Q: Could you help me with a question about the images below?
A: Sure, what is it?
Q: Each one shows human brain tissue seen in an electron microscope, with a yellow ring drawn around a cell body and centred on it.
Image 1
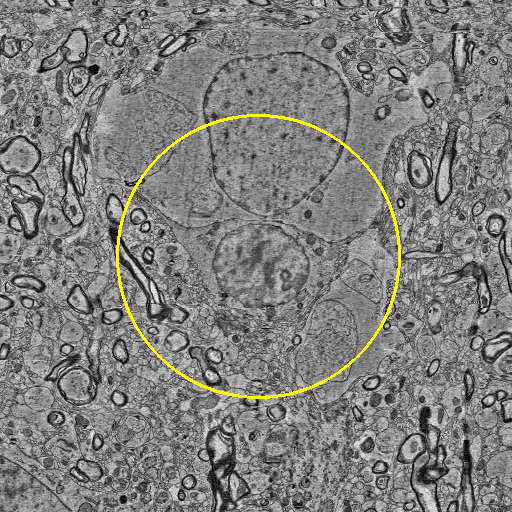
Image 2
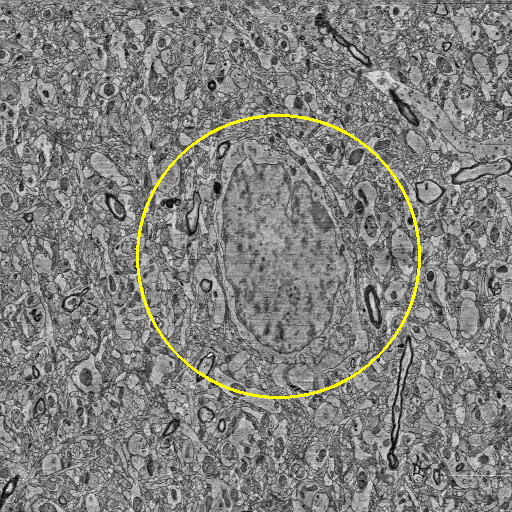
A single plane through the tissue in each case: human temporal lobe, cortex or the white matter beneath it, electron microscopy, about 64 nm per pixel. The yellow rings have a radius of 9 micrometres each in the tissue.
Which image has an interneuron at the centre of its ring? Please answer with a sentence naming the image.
Image 2 has it at the centre of its ring.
